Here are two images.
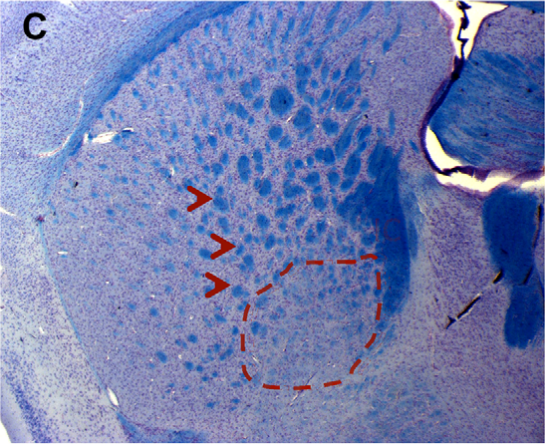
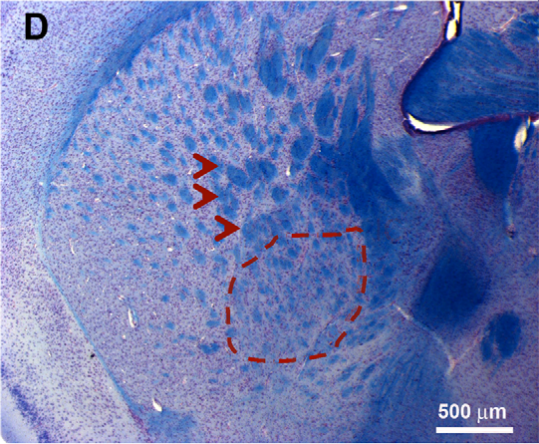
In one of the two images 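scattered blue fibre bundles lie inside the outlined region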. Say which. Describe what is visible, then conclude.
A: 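Second image: several blue bundles are scattered within the dashed outline. First image: the dashed outline encloses a paler region with few blue bundles. So: the second image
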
